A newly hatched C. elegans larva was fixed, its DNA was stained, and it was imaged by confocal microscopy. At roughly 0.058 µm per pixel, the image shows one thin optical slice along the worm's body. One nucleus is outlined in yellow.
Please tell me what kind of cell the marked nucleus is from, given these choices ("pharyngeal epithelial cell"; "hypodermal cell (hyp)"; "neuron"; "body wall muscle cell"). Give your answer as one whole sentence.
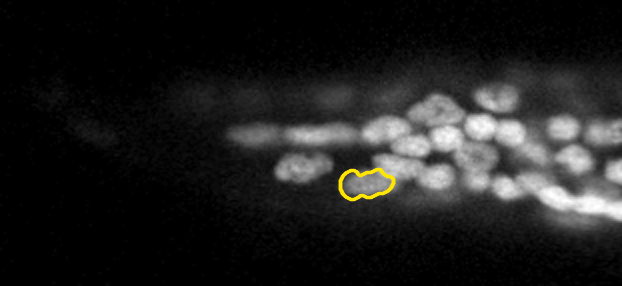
The nucleus comes from a body wall muscle cell.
